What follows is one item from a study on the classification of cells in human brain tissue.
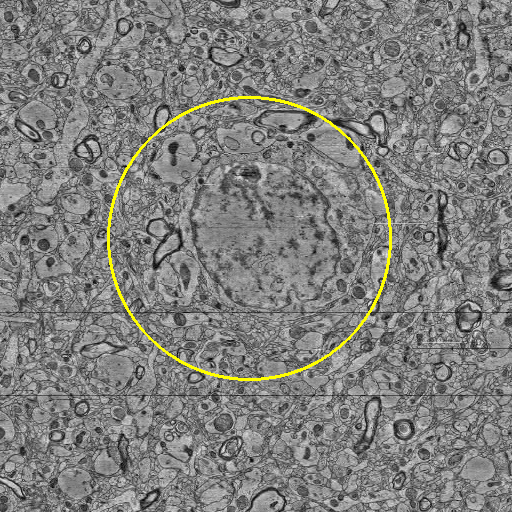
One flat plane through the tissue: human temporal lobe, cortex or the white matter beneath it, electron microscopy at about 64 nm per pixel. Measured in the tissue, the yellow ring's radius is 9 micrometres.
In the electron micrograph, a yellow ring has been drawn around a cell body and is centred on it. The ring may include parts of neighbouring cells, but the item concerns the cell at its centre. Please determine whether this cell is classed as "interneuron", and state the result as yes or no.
yes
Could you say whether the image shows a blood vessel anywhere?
No.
